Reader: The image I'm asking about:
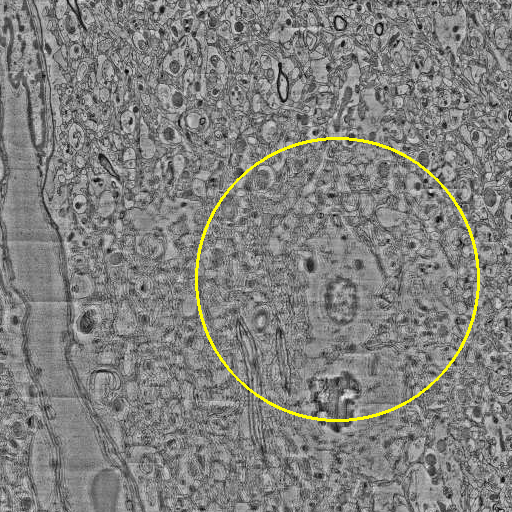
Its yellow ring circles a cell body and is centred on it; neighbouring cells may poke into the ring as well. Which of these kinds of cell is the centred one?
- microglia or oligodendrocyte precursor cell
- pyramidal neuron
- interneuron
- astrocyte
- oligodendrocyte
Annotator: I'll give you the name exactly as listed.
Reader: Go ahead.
astrocyte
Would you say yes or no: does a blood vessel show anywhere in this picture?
Yes, a vessel shows somewhere in the image.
